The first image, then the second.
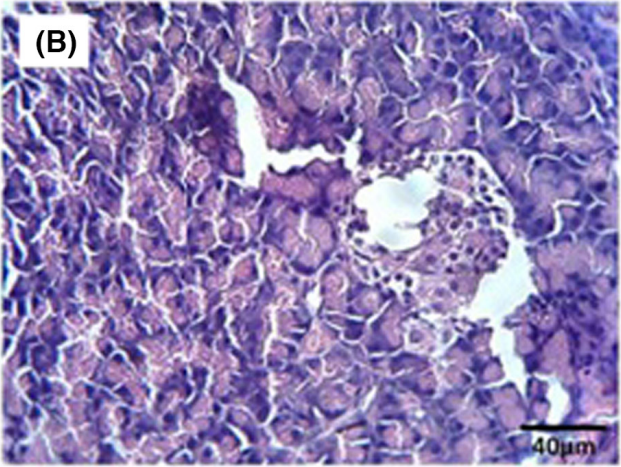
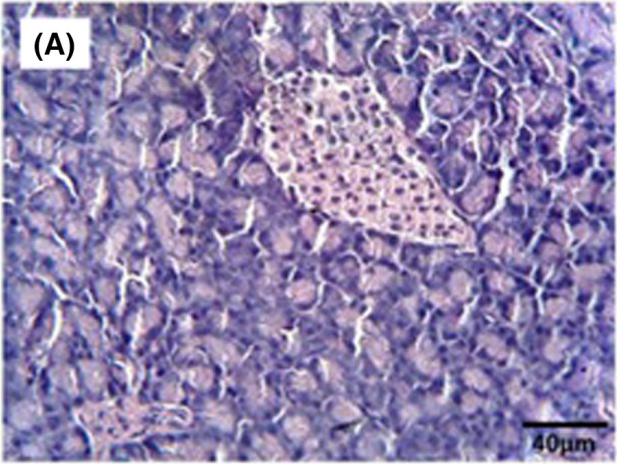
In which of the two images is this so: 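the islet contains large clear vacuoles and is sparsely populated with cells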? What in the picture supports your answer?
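First image: the pale cell cluster holds a large clear empty space and few, scattered cells. Second image: the pale cell cluster is compact, evenly filled with cells and has no clear spaces.
Hence: the first image.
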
